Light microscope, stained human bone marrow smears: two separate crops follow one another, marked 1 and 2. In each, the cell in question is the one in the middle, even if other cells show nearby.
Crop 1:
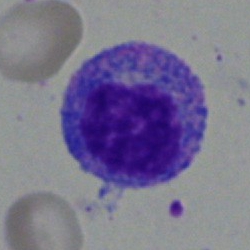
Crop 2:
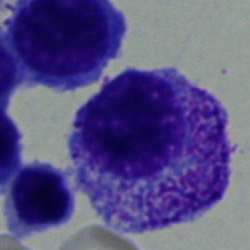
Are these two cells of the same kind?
yes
